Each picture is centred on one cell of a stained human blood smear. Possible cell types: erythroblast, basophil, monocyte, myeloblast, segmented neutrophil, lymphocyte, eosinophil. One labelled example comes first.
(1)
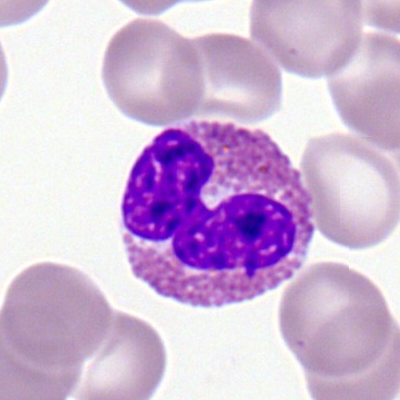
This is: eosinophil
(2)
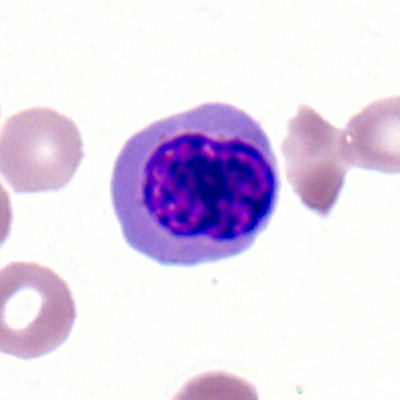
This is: erythroblast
